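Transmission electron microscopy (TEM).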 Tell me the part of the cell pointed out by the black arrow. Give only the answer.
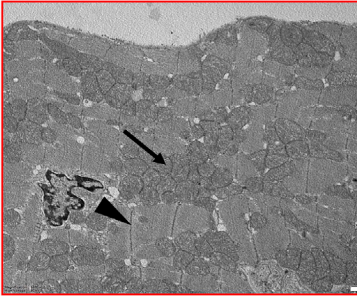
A: Mitochondria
